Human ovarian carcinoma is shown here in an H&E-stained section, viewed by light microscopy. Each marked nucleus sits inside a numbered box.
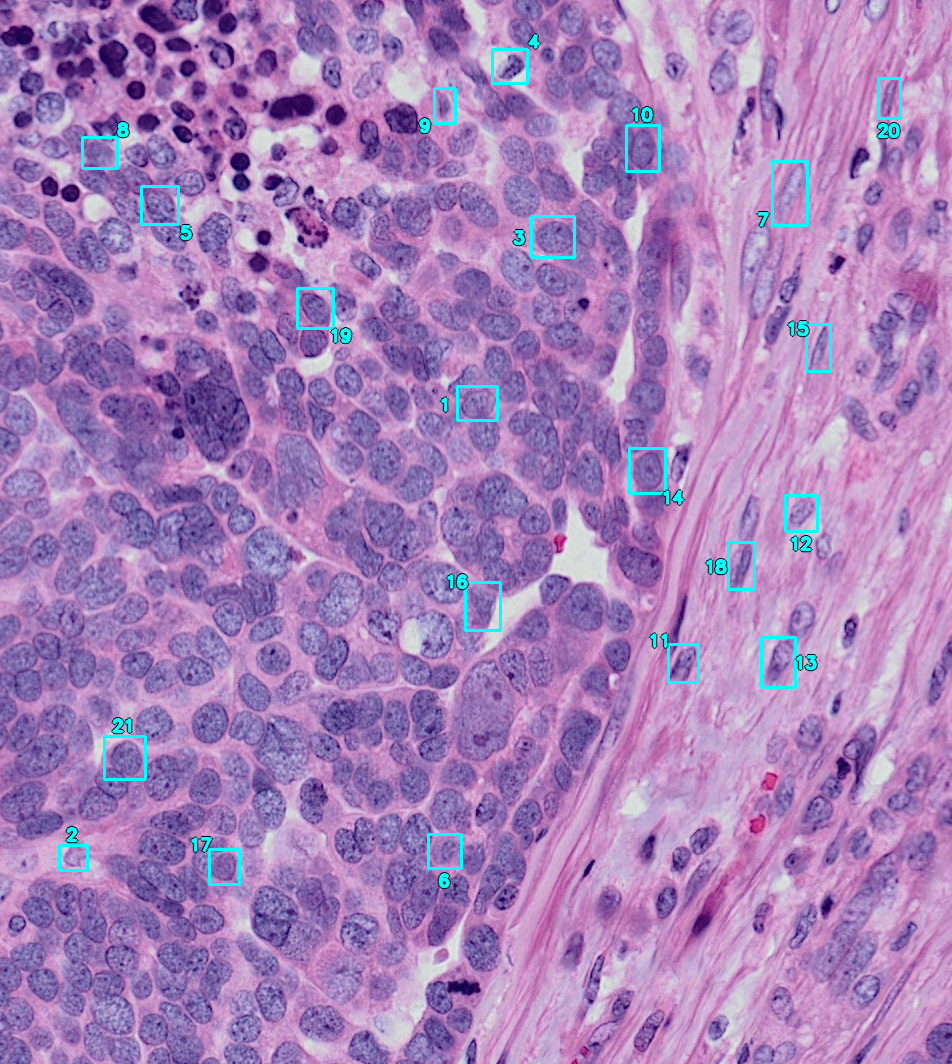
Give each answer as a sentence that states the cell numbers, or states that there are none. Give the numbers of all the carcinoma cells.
The cells with numbers 1, 3, 5, 6, 8, 10, 14, 16, 17, 19 and 21 are carcinoma cells by type.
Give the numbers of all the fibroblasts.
The cells tagged 2, 7, 11, 12, 13, 15, 18 and 20 are fibroblasts in this tissue section.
